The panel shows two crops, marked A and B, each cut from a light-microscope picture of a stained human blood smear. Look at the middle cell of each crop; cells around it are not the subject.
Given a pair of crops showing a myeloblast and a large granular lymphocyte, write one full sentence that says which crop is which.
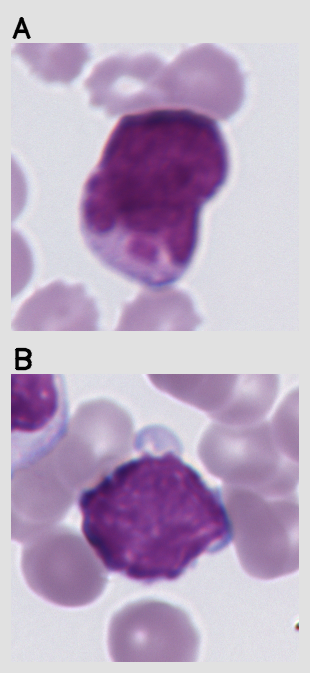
What crop A shows is a myeloblast, and what crop B shows is a large granular lymphocyte.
